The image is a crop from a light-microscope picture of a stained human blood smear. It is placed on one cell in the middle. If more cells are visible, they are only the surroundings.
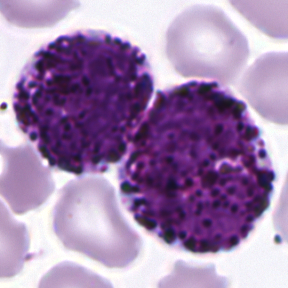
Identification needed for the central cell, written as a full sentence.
The cell of interest, located centrally, is a basophil.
